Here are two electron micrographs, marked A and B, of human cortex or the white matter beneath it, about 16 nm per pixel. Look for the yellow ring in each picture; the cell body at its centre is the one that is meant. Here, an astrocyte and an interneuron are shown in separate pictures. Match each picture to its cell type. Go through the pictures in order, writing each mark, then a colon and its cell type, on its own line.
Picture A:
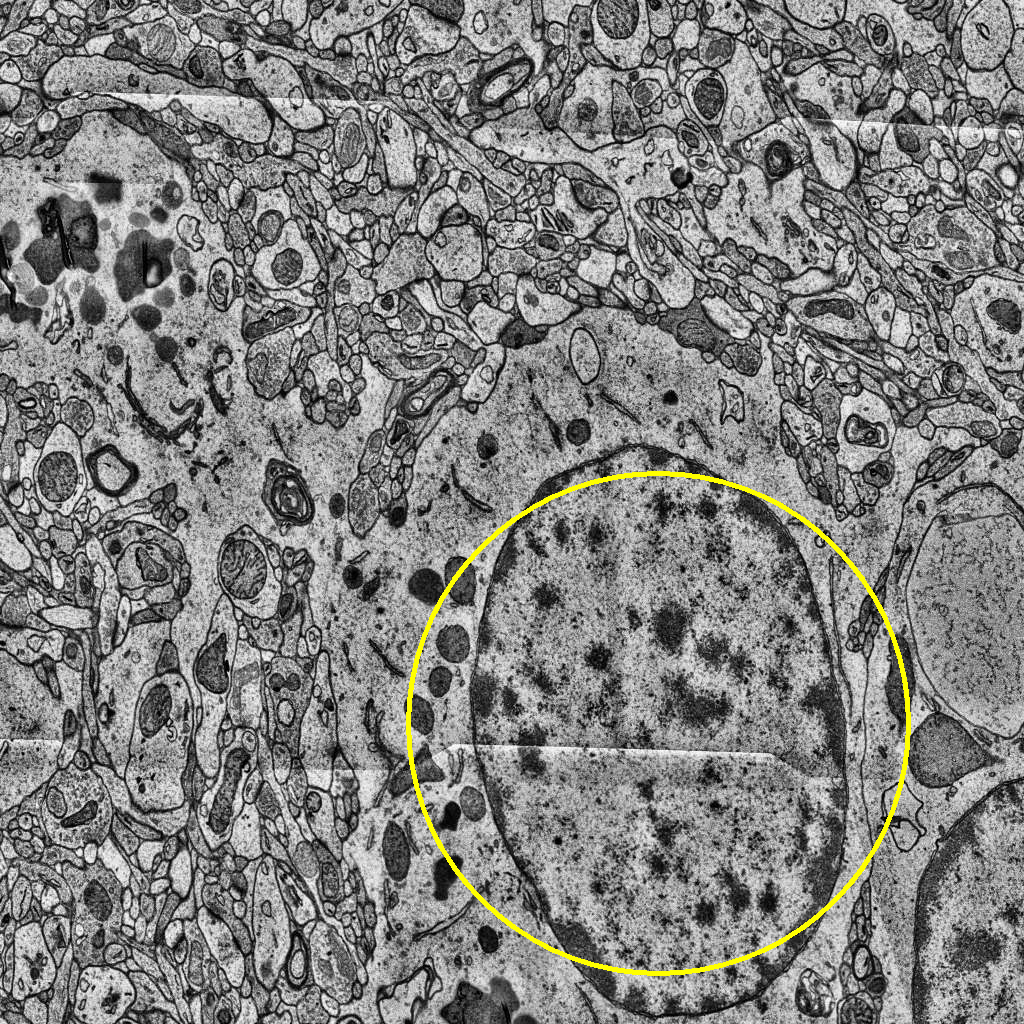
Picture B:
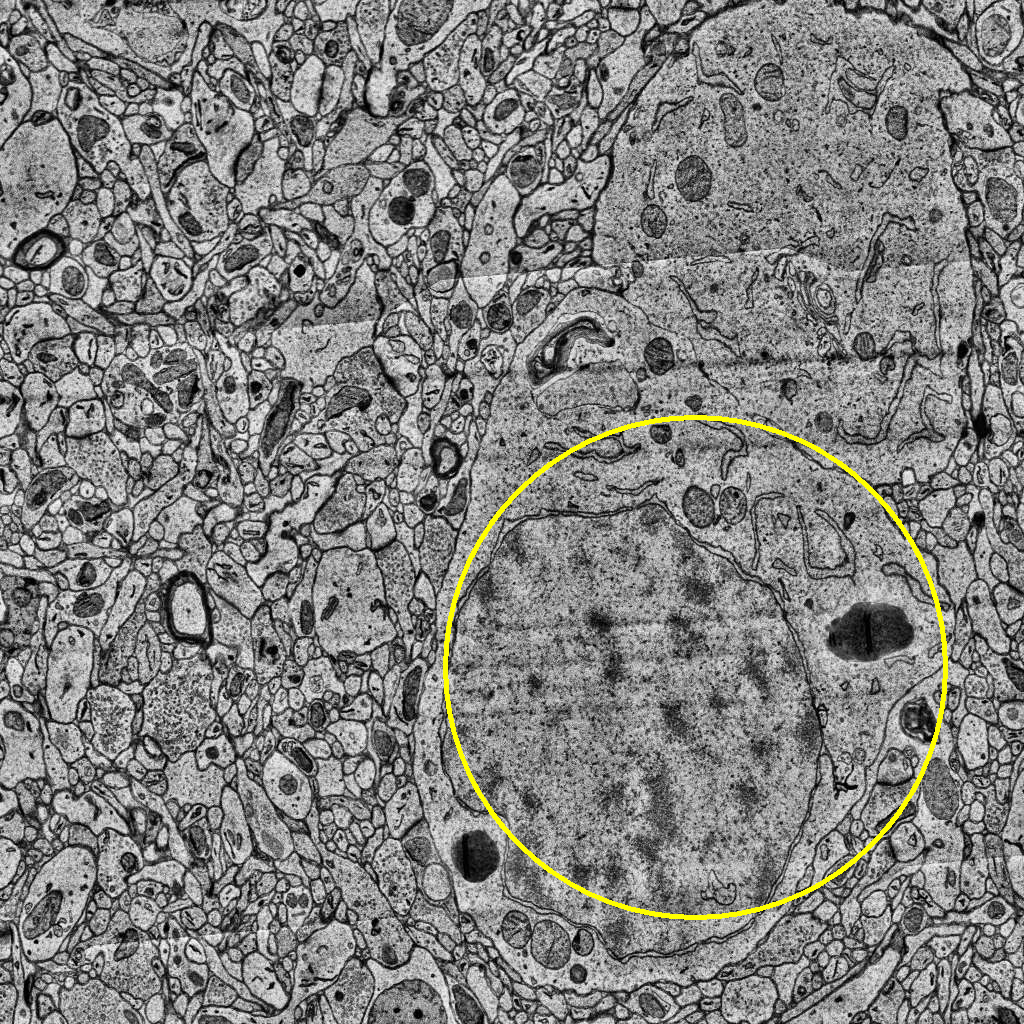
A: astrocyte
B: interneuron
